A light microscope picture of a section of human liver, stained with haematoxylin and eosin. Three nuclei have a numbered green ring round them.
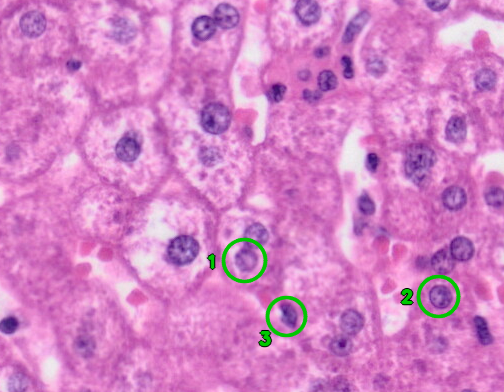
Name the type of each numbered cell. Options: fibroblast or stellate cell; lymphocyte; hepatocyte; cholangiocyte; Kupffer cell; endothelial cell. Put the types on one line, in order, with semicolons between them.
hepatocyte; hepatocyte; endothelial cell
